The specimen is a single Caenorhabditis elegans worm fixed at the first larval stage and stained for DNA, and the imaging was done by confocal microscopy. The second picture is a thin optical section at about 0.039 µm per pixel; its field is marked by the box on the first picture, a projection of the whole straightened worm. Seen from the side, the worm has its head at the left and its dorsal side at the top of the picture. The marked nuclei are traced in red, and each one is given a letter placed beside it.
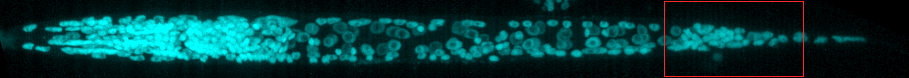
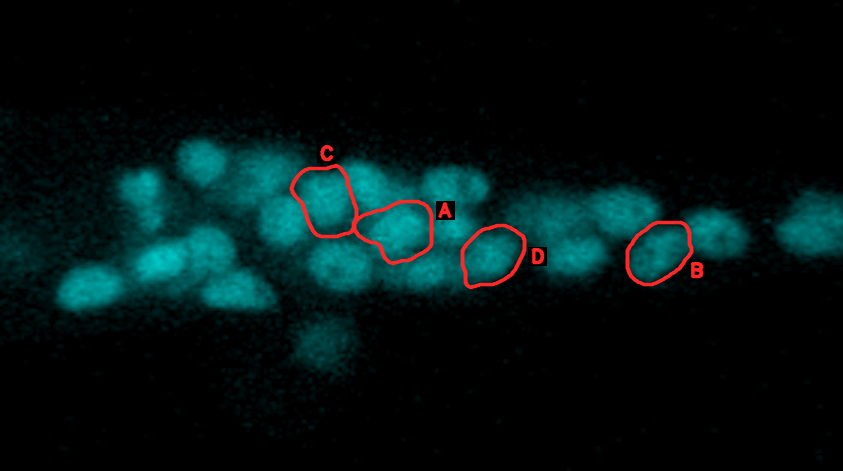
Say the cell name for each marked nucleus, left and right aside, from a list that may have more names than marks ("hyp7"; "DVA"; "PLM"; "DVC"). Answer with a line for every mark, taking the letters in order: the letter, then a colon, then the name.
A: DVC
B: hyp7
C: DVA
D: PLM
